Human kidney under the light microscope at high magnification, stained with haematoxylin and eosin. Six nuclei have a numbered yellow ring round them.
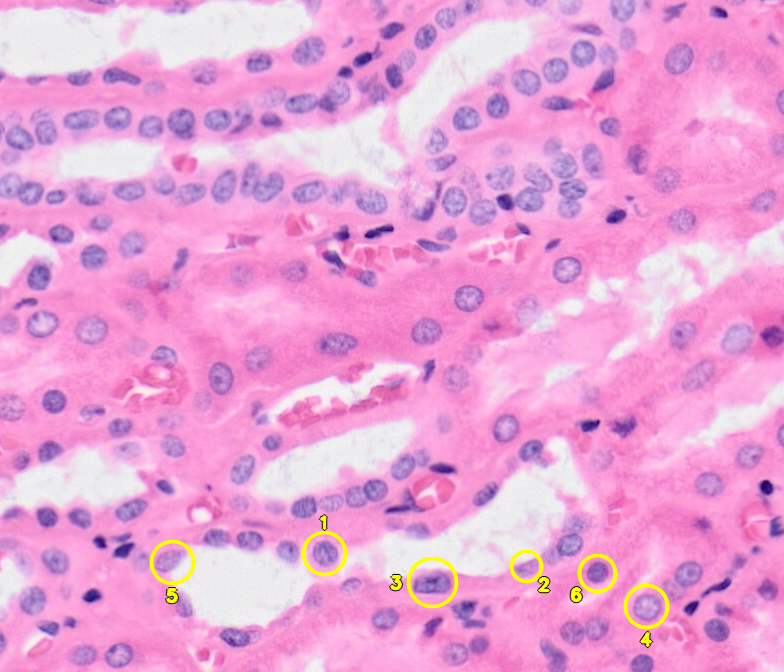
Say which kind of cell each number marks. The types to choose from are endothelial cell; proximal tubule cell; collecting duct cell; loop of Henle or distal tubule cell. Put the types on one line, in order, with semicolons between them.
loop of Henle or distal tubule cell; loop of Henle or distal tubule cell; loop of Henle or distal tubule cell; proximal tubule cell; loop of Henle or distal tubule cell; proximal tubule cell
